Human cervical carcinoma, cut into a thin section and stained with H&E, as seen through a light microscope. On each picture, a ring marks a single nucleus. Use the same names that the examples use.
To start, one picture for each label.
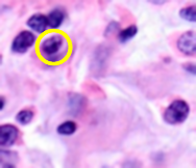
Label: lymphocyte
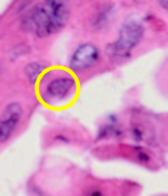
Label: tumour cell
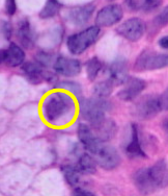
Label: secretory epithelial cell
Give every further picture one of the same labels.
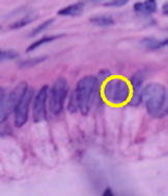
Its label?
secretory epithelial cell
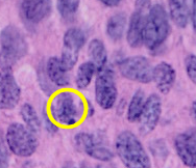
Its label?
tumour cell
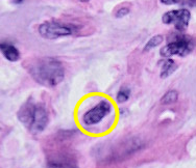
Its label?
lymphocyte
